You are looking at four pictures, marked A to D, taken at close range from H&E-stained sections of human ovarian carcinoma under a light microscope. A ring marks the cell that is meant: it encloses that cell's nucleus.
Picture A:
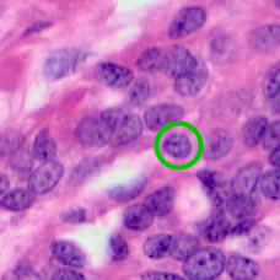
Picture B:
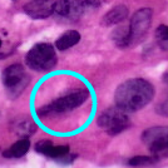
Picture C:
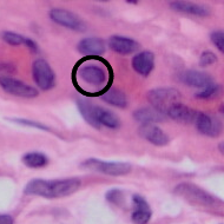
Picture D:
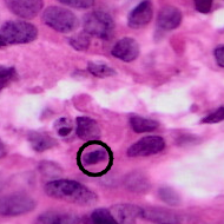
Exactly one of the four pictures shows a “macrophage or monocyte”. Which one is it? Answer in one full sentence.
Picture A shows the “macrophage or monocyte”.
